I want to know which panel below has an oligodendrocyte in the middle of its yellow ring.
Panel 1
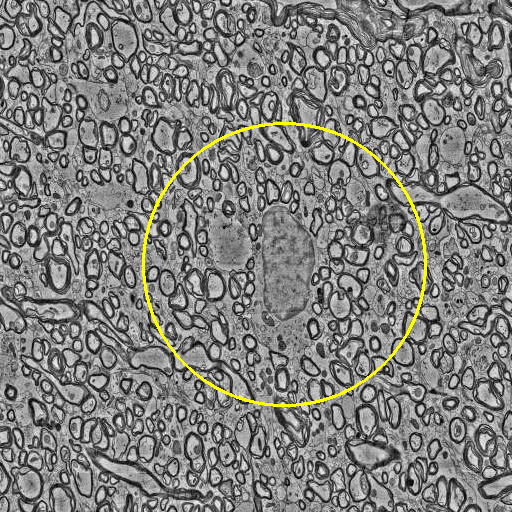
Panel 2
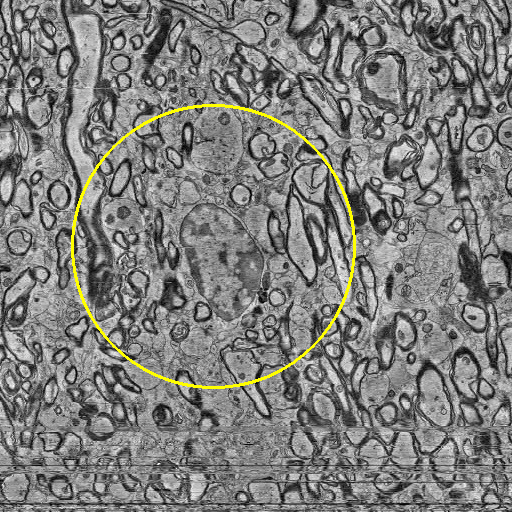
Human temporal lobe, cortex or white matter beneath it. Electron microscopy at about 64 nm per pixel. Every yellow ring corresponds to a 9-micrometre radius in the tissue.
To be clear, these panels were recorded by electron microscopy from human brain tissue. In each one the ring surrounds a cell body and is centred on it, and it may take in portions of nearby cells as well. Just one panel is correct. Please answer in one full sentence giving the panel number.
Panel 1 has the requested cell sitting at the centre of its ring.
